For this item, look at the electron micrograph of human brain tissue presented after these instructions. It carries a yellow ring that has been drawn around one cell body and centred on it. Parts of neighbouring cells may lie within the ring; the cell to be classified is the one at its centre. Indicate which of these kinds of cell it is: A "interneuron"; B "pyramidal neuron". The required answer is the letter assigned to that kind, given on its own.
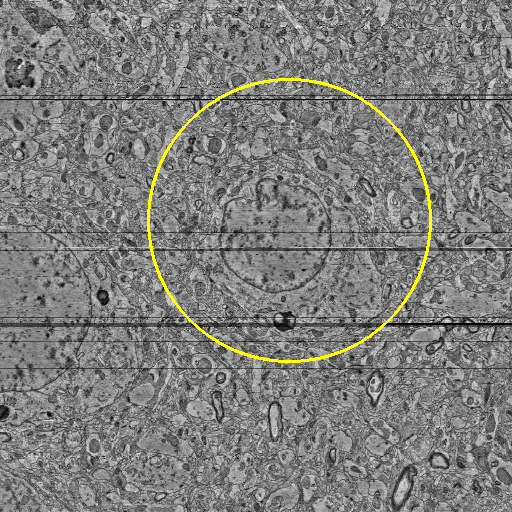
B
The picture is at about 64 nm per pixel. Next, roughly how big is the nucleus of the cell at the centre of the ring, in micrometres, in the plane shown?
About 8 micrometres across, as seen in this plane.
